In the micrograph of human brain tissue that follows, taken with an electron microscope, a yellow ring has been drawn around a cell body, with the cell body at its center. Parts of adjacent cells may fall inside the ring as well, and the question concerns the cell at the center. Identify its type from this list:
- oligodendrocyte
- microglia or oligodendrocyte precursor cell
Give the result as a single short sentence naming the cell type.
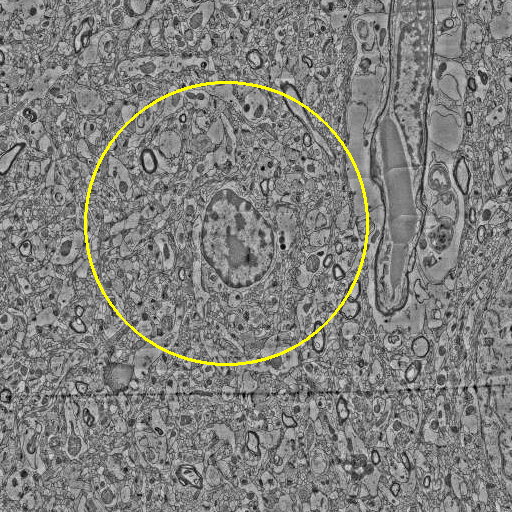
The ring is centered on a microglial cell or oligodendrocyte precursor cell.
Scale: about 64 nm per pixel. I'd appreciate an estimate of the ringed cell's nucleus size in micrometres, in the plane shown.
In this plane, the nucleus of the cell at the centre of the ring measures about 6 by 5 micrometres.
